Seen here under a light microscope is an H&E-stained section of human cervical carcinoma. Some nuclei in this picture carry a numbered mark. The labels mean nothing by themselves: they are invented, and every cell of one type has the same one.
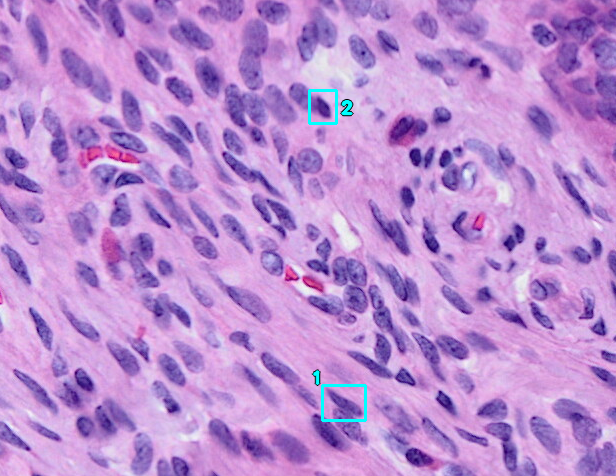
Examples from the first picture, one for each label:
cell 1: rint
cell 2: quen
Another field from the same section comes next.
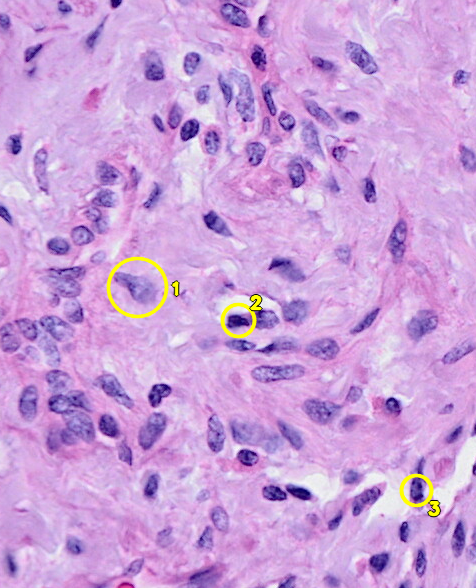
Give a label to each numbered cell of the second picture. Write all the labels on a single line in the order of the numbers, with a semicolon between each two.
rint; quen; quen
